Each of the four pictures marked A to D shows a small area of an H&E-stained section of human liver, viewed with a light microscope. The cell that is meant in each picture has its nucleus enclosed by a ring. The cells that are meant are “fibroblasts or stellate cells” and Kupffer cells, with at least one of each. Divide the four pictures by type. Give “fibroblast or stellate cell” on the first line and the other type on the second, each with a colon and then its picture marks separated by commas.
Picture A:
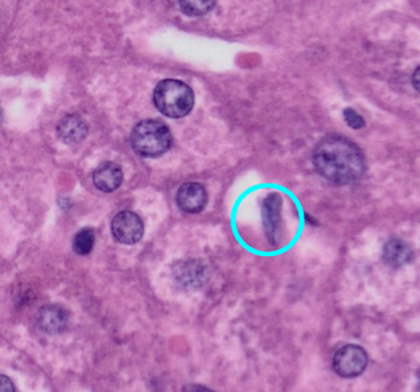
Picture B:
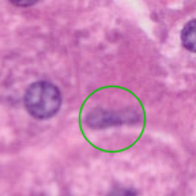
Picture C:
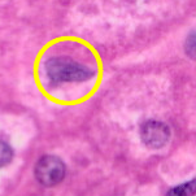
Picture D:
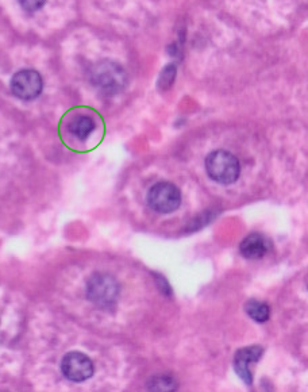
fibroblast or stellate cell: D
Kupffer cell: A, B, C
